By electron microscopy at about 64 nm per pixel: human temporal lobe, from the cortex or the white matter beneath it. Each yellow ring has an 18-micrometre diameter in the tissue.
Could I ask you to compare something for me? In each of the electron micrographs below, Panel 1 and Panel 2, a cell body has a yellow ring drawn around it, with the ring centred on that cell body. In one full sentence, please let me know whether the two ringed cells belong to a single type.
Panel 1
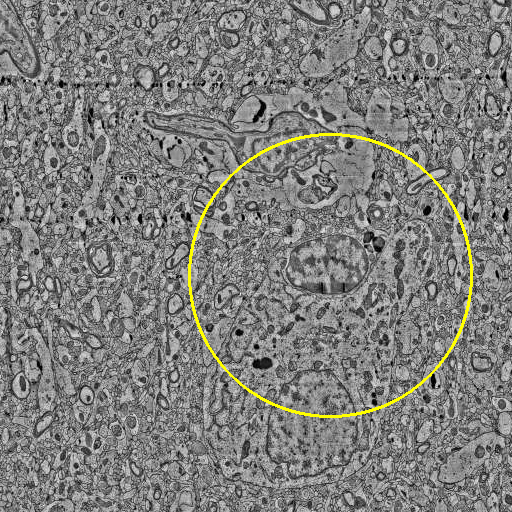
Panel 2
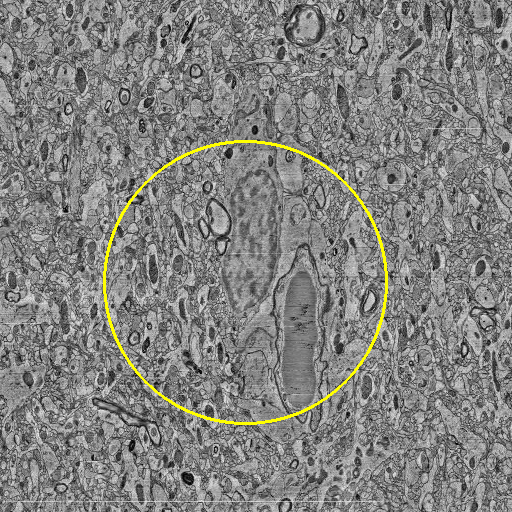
No, the two cells at the centres of the rings are of two types.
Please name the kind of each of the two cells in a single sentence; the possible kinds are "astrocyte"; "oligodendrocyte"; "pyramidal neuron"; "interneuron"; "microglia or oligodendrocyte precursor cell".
In the first picture the ring is centred on a microglial cell or oligodendrocyte precursor cell, and in the second on an oligodendrocyte.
